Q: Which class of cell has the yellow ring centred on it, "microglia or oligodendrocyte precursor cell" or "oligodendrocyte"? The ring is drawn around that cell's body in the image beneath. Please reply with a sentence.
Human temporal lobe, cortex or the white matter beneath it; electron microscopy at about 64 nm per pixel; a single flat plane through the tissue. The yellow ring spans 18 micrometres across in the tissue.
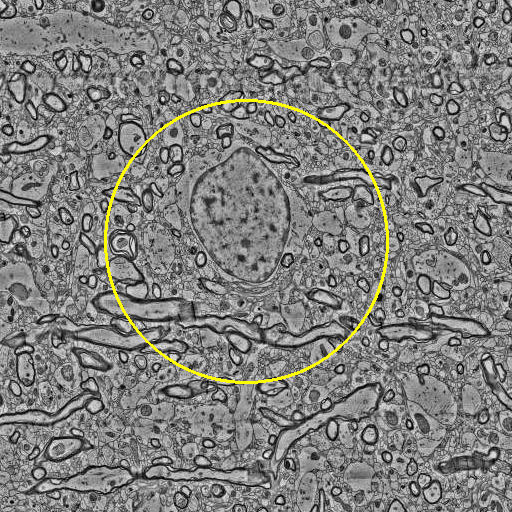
It is centred on a microglial cell or oligodendrocyte precursor cell.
